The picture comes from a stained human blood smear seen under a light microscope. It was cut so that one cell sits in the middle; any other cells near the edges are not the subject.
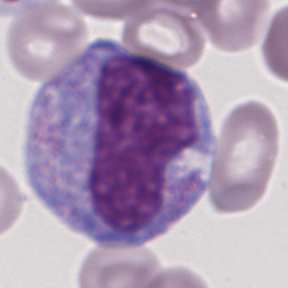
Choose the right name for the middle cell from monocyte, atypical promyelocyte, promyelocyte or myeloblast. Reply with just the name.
promyelocyte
